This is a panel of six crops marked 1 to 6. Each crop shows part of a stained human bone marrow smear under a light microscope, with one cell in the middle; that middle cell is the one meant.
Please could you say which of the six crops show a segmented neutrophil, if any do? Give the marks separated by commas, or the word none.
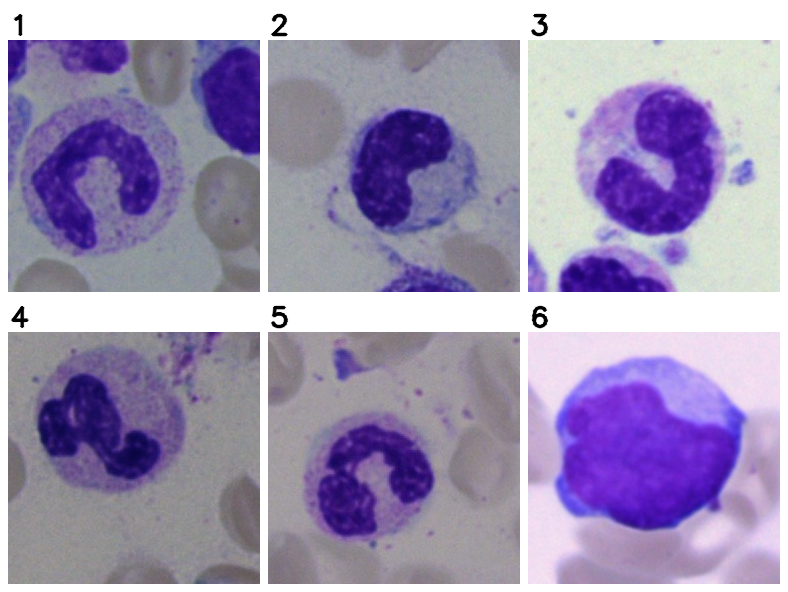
4, 5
